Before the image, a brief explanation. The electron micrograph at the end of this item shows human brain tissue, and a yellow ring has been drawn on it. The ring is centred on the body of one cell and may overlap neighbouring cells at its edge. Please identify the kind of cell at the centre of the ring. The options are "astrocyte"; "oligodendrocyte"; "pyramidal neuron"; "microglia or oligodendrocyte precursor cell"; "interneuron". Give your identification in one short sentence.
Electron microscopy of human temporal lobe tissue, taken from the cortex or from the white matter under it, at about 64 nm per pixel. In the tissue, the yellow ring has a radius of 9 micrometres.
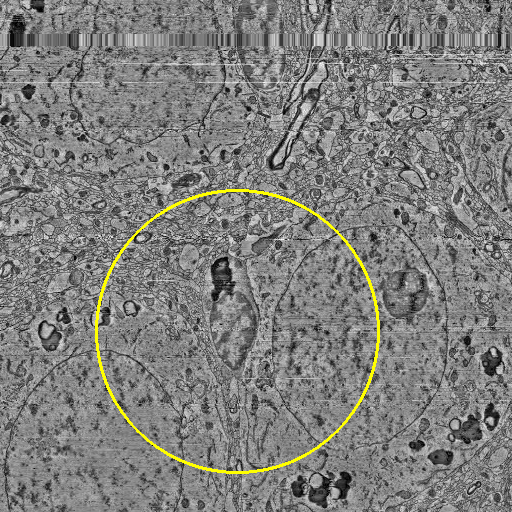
The ring has been placed around an oligodendrocyte.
